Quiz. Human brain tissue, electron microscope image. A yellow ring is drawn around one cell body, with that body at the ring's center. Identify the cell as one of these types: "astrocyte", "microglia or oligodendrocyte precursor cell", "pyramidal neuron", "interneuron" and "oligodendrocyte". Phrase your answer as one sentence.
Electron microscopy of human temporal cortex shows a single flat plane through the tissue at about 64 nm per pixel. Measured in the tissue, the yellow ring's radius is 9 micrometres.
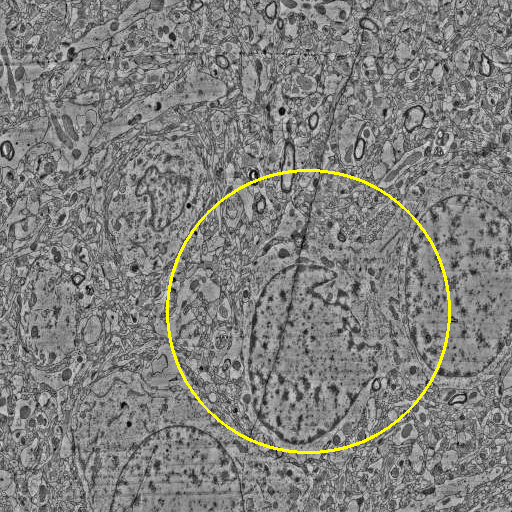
At the center of the ring sits a microglial cell or oligodendrocyte precursor cell.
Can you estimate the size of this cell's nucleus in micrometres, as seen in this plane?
The nucleus is approximately 11 micrometers long by 8 micrometers wide in this plane.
